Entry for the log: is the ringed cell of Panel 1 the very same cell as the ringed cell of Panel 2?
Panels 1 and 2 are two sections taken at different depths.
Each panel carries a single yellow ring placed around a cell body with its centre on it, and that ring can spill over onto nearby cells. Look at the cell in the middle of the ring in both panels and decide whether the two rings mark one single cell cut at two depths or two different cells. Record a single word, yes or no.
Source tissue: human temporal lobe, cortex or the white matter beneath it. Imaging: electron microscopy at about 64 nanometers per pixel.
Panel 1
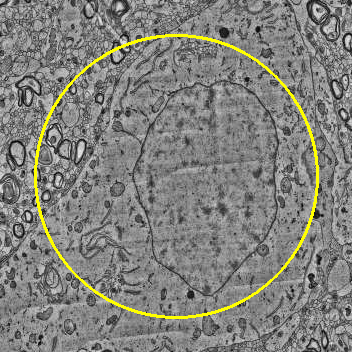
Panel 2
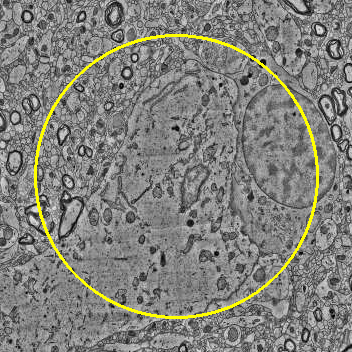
yes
